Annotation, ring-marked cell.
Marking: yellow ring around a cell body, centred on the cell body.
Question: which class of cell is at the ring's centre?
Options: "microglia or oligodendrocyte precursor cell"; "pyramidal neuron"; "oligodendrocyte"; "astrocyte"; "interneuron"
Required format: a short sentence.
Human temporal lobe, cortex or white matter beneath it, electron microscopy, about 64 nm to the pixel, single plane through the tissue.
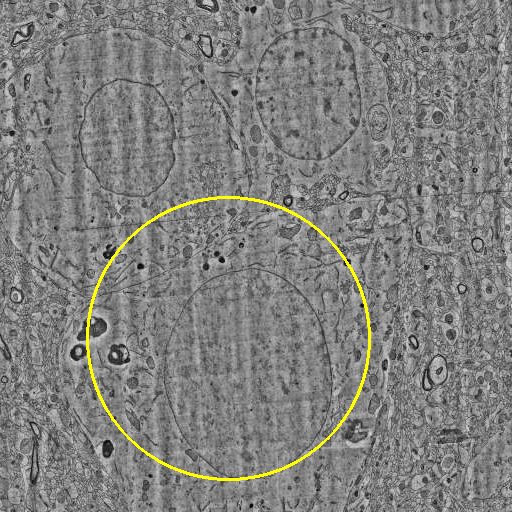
At the ring's centre is a pyramidal neuron.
